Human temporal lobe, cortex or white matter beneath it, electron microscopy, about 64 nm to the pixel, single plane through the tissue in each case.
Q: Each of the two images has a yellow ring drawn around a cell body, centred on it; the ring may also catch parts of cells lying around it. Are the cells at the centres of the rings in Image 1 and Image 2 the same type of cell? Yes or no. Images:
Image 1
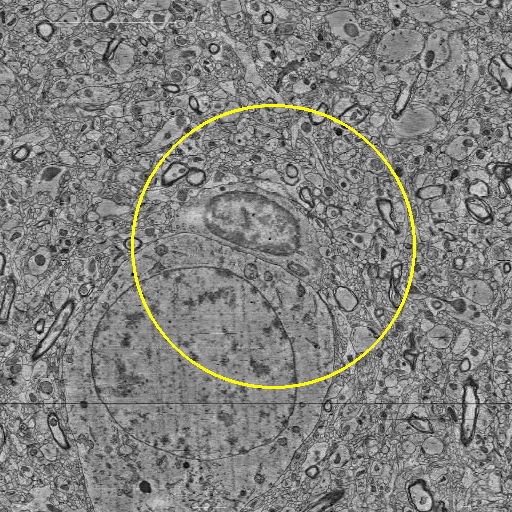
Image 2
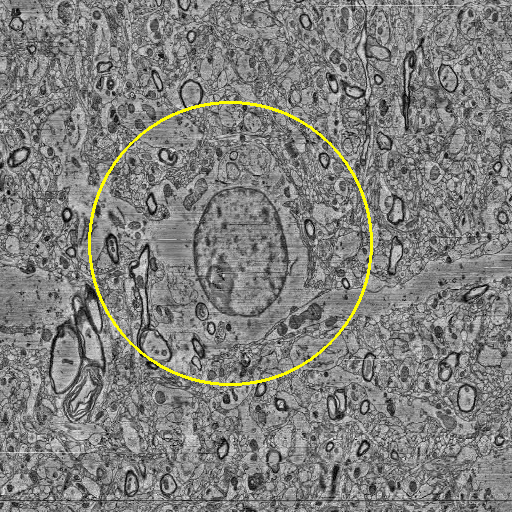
no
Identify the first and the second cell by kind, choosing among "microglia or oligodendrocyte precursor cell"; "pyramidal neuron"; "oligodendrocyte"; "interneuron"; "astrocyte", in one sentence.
The one in the first picture is an oligodendrocyte, while the one in the second is an astrocyte.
